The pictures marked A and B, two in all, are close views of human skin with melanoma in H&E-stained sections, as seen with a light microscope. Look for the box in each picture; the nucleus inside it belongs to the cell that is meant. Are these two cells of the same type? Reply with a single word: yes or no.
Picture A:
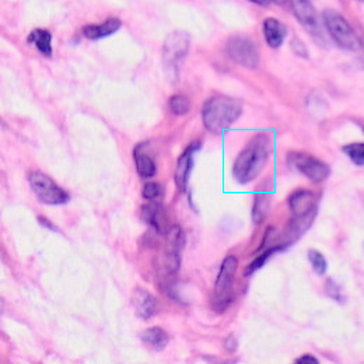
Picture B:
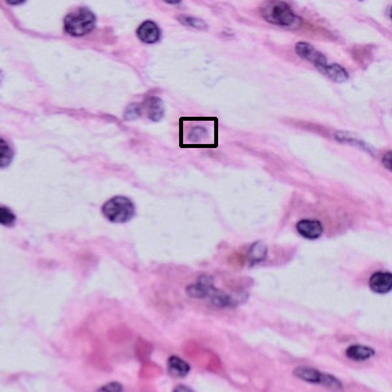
no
